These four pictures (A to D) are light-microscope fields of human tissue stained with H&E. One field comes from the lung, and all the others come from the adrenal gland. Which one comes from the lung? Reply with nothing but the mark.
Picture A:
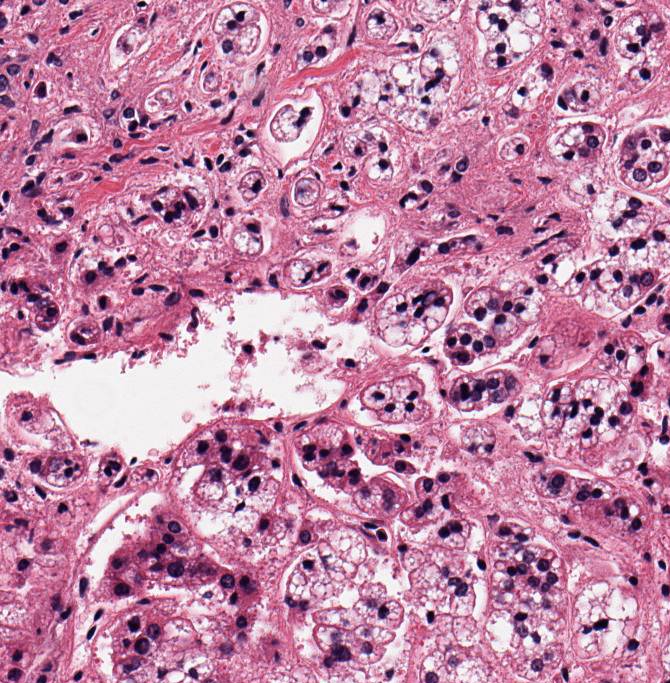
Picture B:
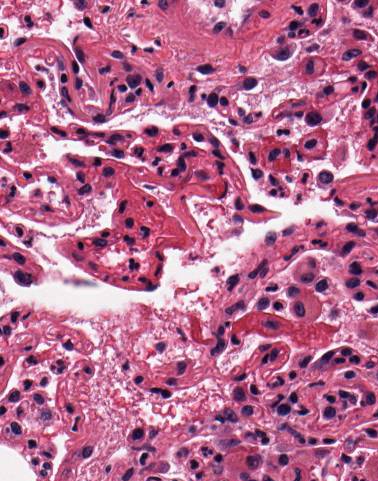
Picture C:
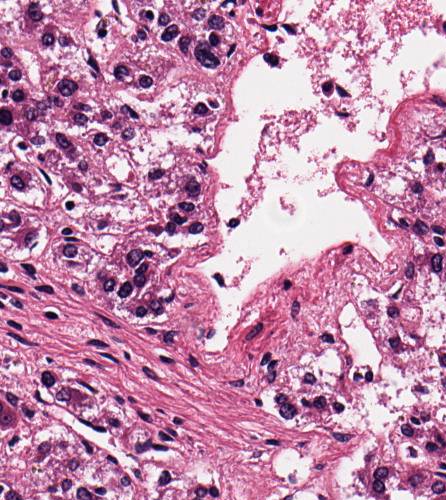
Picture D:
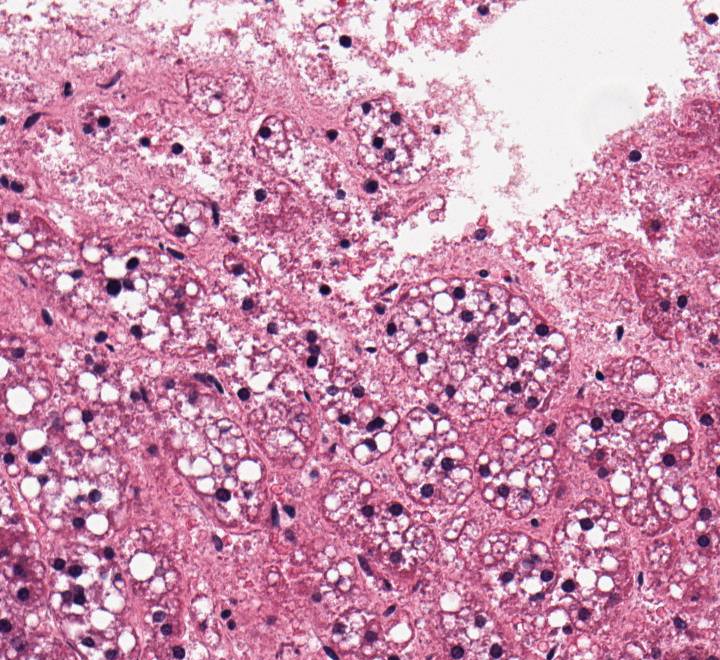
B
